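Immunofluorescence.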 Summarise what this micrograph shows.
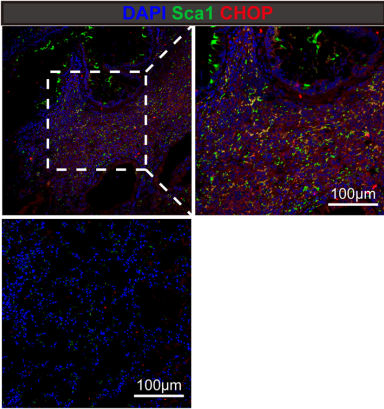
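These are lung sections. In the upper row the tissue is solid and packed with nuclei, and many cells show red and green, often overlapping as yellow. In the lower row the lung keeps its lacy pattern of thin alveolar walls with blue nuclei and hardly any red.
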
